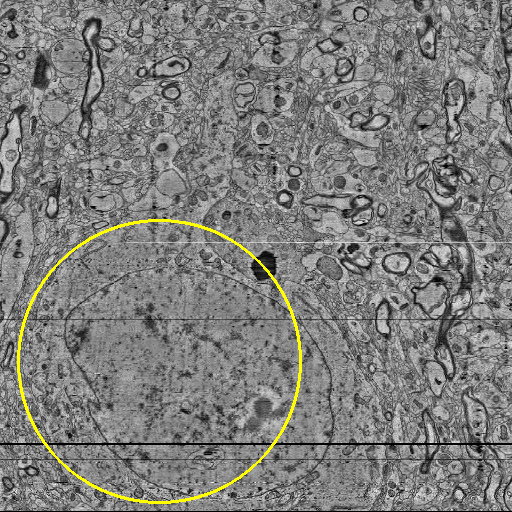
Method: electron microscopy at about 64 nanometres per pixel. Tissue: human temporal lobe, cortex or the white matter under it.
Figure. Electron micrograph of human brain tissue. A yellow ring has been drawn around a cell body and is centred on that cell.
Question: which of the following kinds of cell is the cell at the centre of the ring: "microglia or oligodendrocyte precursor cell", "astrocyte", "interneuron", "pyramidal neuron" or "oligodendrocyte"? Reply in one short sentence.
The cell at the centre of the ring is a pyramidal neuron.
